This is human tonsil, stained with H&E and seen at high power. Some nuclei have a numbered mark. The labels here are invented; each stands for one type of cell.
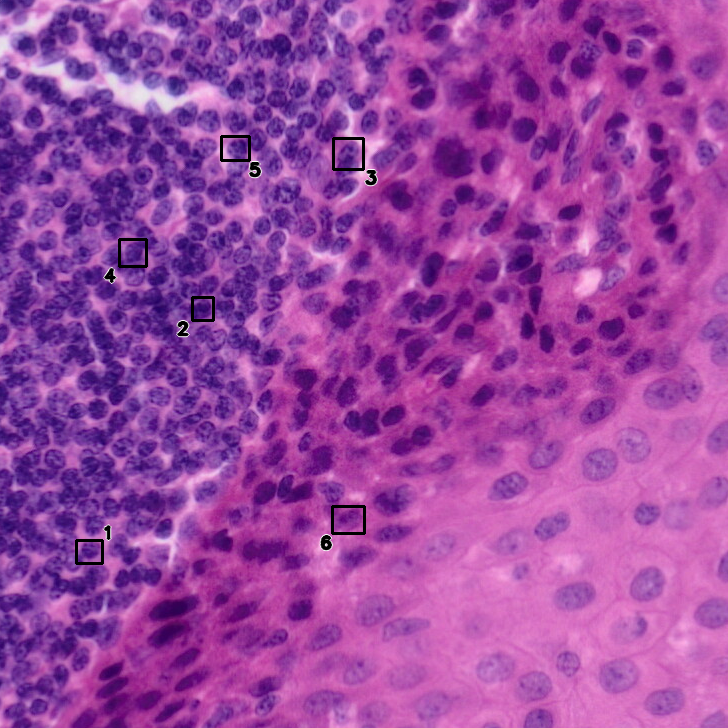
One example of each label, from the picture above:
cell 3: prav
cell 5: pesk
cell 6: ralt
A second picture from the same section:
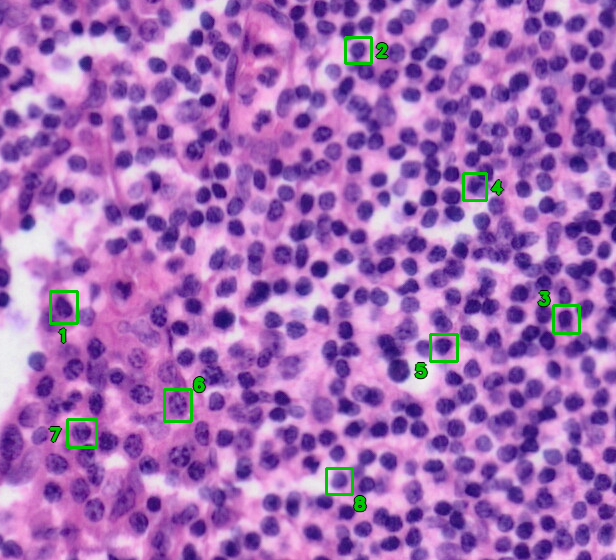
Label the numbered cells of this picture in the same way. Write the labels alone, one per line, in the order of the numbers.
prav
pesk
pesk
pesk
pesk
prav
prav
pesk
